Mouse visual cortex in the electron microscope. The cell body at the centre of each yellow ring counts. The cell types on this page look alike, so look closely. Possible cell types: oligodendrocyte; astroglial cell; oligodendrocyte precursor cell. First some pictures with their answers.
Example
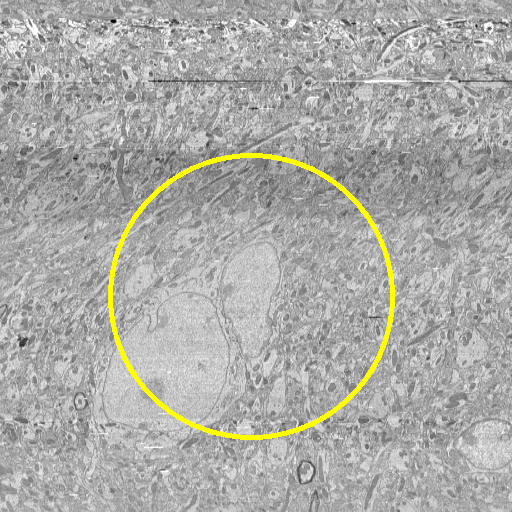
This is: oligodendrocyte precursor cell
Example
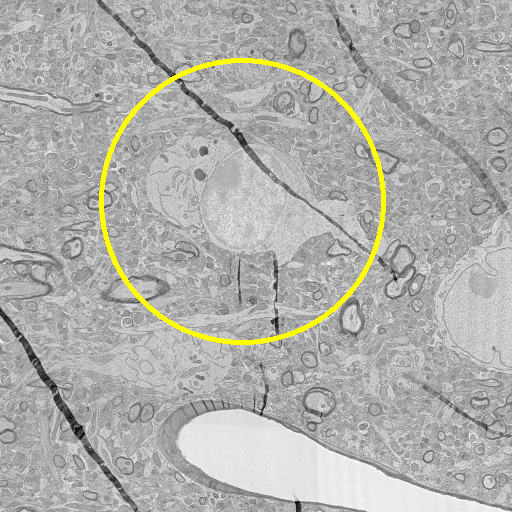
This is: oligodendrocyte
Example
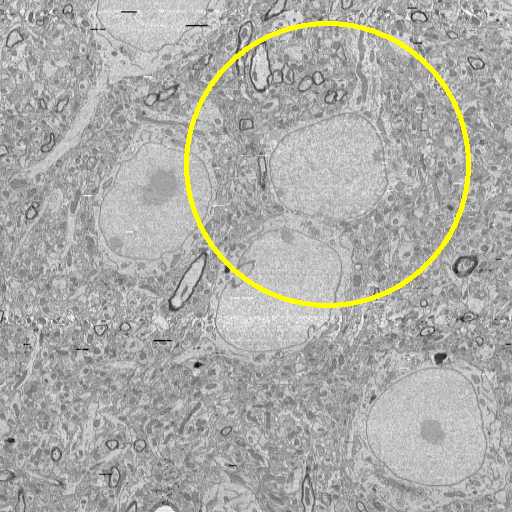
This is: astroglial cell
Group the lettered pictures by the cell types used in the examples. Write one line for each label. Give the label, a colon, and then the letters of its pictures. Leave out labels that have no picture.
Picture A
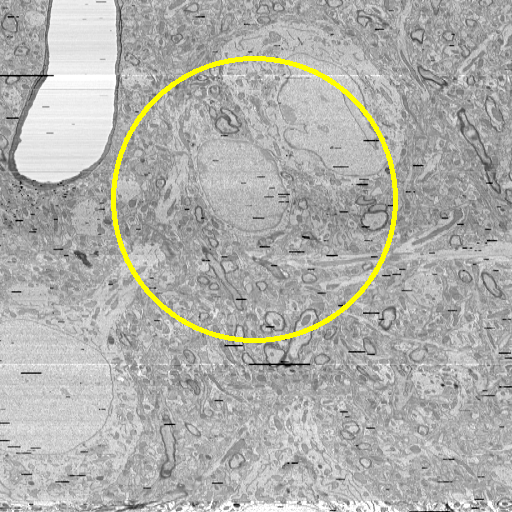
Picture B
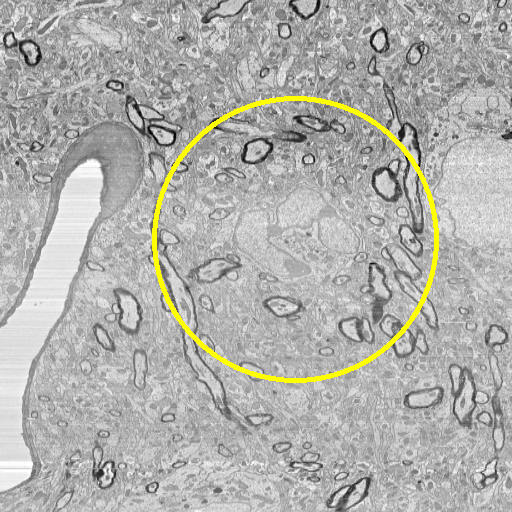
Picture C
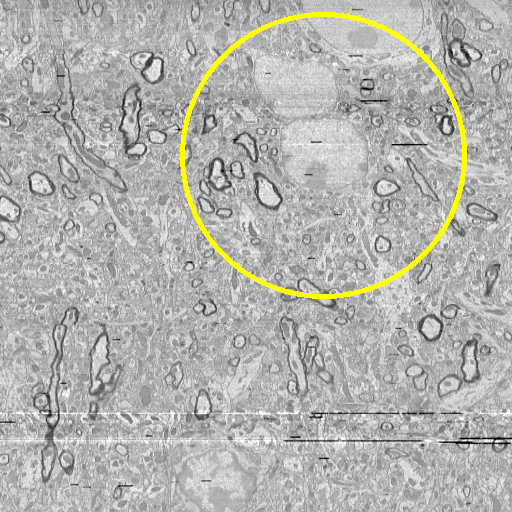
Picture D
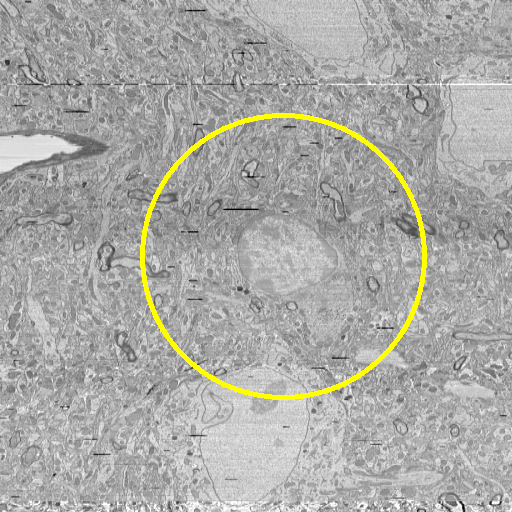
oligodendrocyte: D
astroglial cell: A, C
oligodendrocyte precursor cell: B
